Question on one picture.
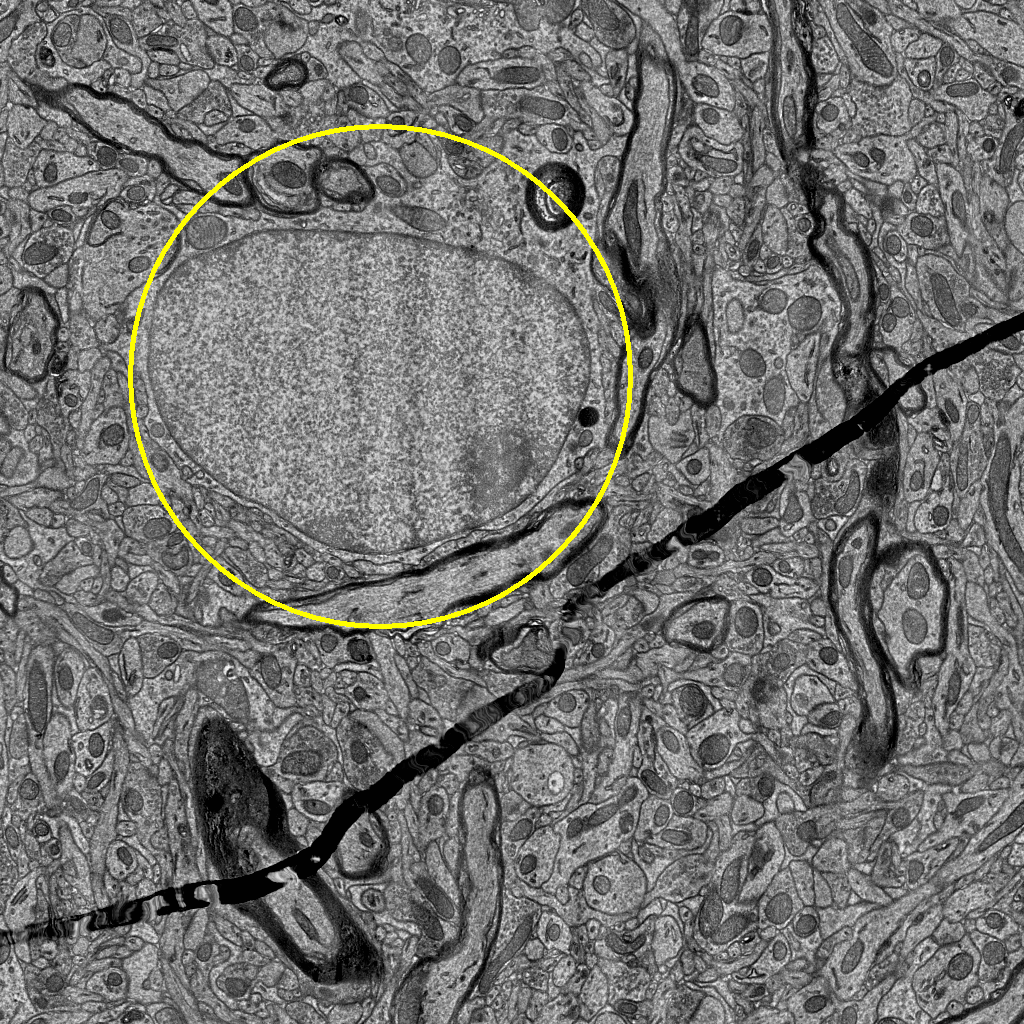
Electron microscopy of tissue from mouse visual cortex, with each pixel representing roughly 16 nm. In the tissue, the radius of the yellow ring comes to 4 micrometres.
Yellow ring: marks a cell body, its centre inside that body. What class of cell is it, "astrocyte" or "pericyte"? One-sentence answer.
This is an astrocyte, the cell at the ring's centre.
